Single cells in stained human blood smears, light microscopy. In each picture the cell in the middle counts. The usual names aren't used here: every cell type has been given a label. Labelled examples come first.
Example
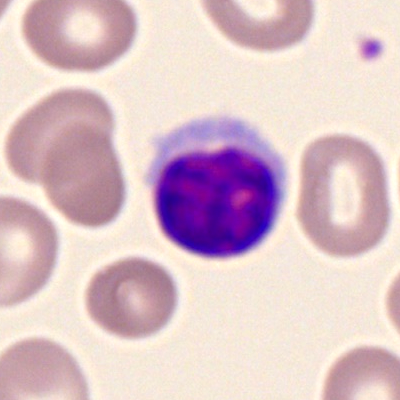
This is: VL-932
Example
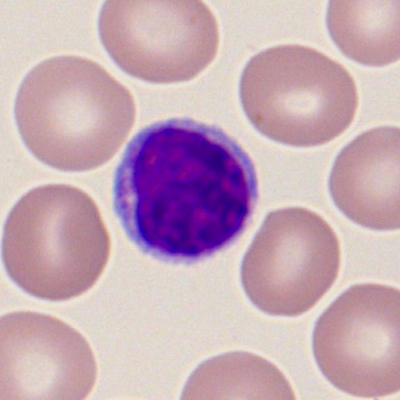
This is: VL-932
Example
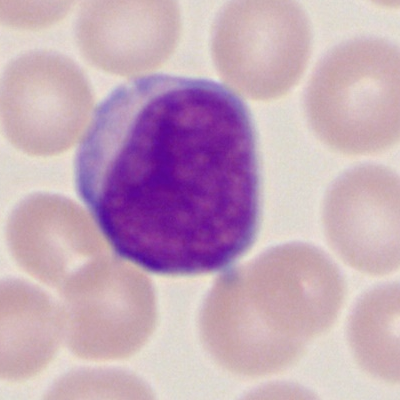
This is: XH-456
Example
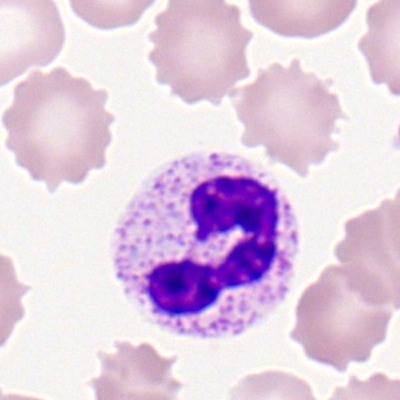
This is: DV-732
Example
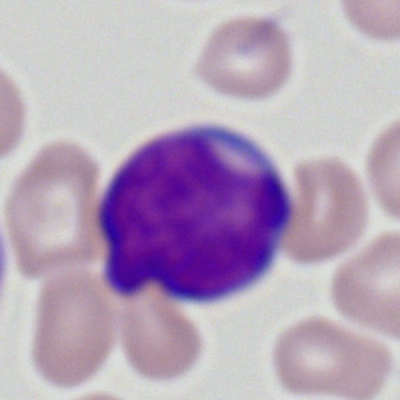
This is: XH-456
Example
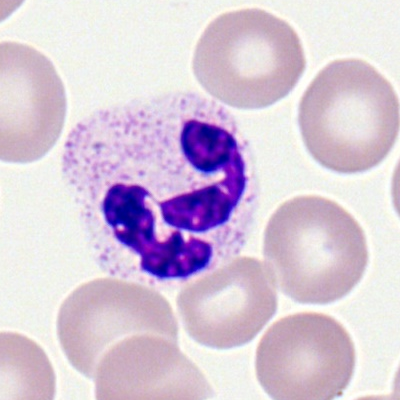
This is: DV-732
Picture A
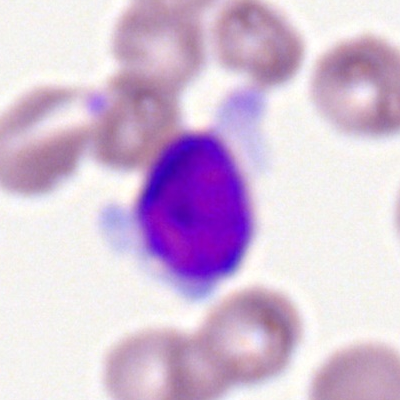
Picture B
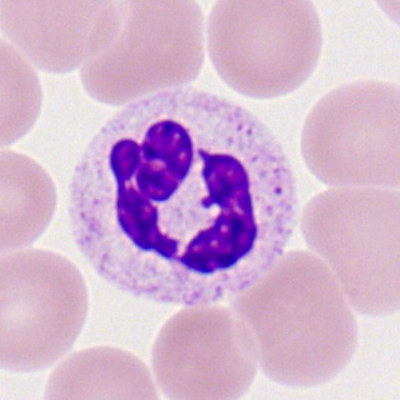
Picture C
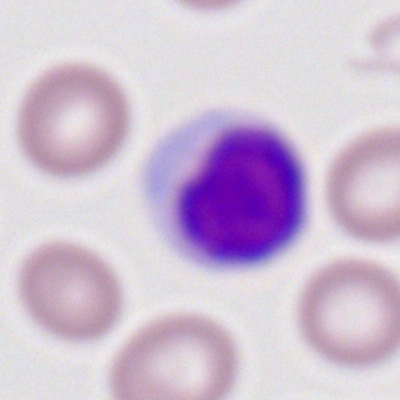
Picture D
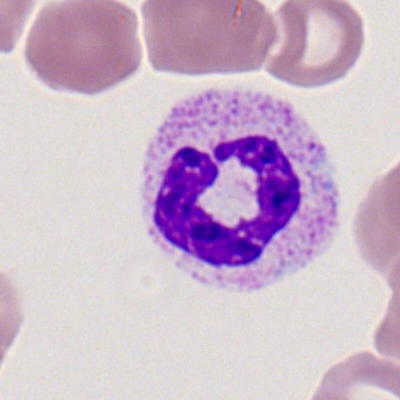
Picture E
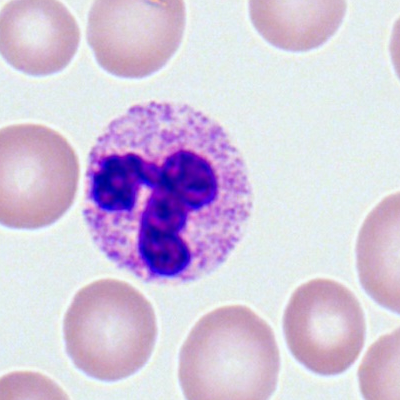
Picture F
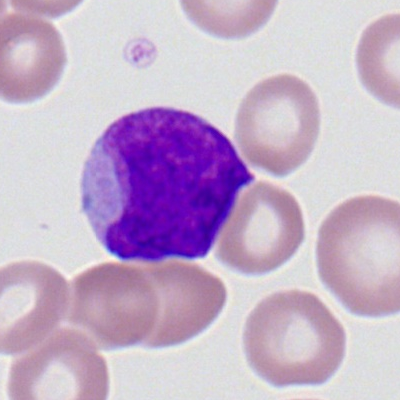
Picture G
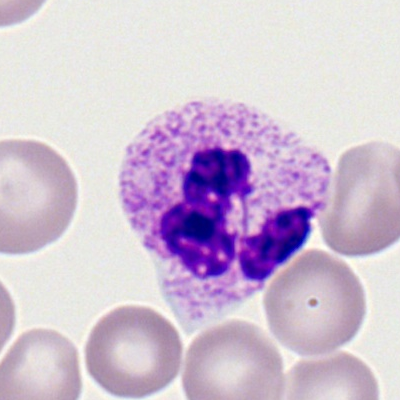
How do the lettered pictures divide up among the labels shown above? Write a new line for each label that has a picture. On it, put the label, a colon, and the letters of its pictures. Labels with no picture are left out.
VL-932: A, C
XH-456: F
DV-732: B, D, E, G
